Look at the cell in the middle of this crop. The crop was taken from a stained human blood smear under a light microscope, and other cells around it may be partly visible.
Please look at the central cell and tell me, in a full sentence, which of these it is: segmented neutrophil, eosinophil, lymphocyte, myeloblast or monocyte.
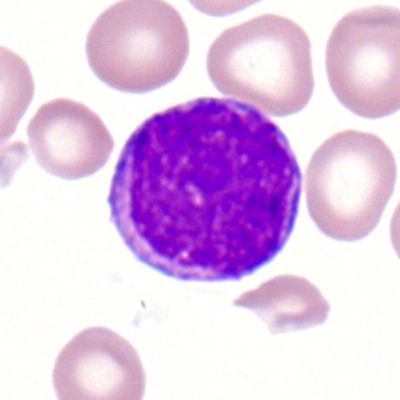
At the center of the crop sits a myeloblast.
